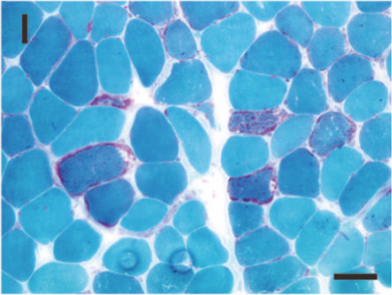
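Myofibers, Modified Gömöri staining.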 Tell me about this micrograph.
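Cross-section of muscle fibers stained blue-green, rounded to polygonal, closely packed with thin pale spaces between them. Most fibers have even blue-green cytoplasm. A few fibers stand out with red-purple granular material gathered at and under their rims, giving a ragged red appearance; some of these also appear darker blue within. Small dark nuclei sit at fiber edges. Fiber size varies.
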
